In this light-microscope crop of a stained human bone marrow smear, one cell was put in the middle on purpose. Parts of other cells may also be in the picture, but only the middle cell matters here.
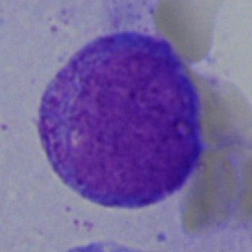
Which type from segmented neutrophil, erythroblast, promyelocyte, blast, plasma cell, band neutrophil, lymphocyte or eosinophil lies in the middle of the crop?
promyelocyte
